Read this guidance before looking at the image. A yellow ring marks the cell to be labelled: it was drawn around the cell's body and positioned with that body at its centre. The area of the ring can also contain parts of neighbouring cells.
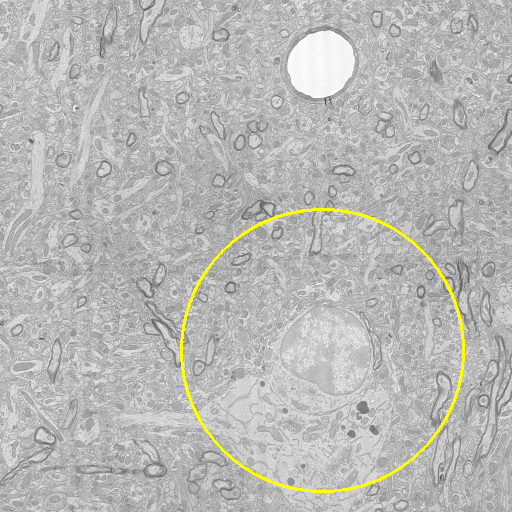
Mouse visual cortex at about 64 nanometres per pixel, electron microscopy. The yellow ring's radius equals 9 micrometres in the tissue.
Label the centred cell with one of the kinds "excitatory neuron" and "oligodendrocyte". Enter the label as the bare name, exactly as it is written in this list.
oligodendrocyte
